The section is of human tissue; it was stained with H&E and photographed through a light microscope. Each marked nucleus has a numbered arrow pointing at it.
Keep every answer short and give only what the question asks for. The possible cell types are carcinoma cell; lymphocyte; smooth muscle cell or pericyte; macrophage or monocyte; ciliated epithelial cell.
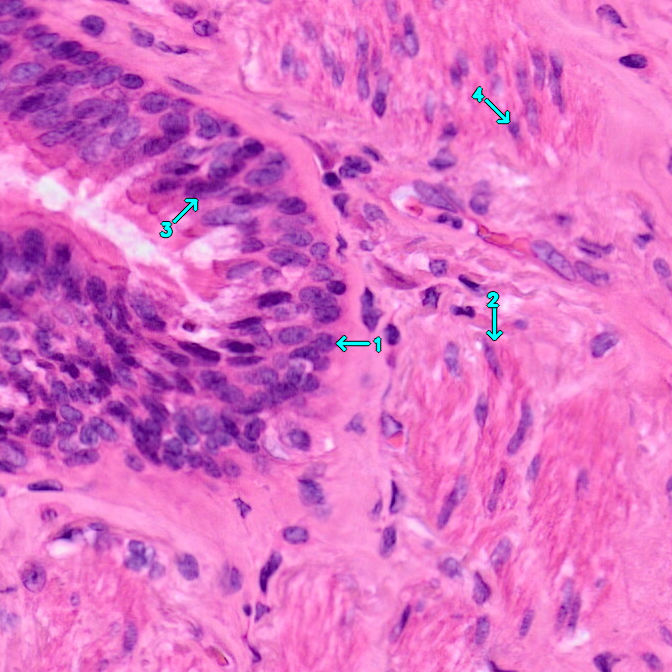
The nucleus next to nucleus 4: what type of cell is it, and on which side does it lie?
a smooth muscle cell or pericyte above and to the right of nucleus 4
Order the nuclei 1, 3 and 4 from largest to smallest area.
3, 1, 4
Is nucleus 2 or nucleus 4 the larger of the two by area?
2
